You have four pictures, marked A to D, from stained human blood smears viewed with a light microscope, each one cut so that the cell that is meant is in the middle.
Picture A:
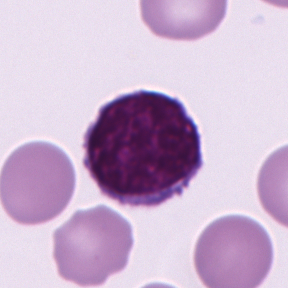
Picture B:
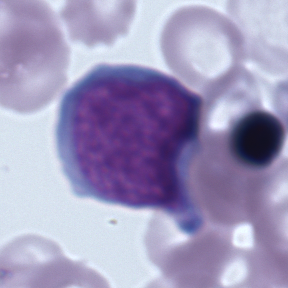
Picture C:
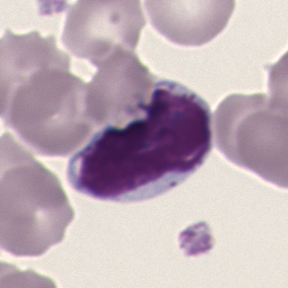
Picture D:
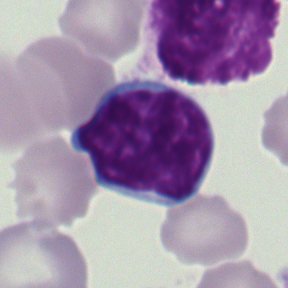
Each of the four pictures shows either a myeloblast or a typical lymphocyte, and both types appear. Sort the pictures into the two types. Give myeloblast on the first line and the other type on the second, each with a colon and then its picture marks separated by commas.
myeloblast: B
typical lymphocyte: A, C, D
